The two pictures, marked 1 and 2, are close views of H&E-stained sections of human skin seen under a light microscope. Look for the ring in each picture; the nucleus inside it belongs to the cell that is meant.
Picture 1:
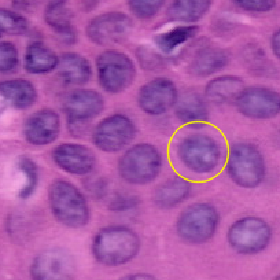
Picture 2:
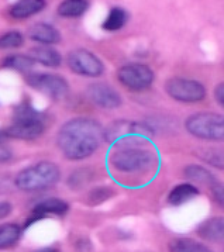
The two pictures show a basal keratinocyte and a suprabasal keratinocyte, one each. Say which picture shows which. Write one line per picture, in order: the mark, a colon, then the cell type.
1: suprabasal keratinocyte
2: basal keratinocyte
